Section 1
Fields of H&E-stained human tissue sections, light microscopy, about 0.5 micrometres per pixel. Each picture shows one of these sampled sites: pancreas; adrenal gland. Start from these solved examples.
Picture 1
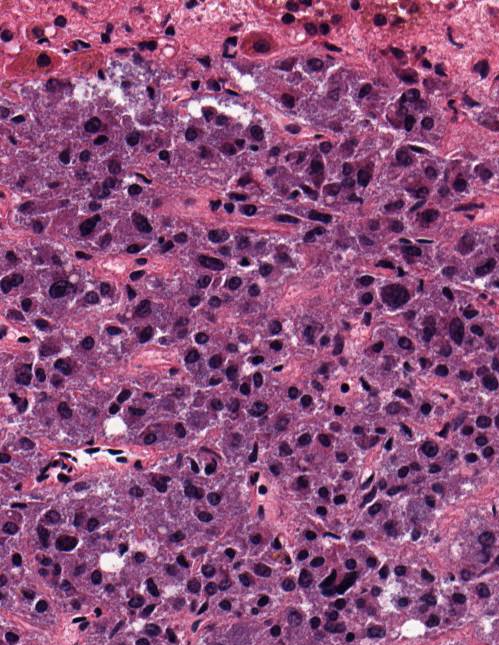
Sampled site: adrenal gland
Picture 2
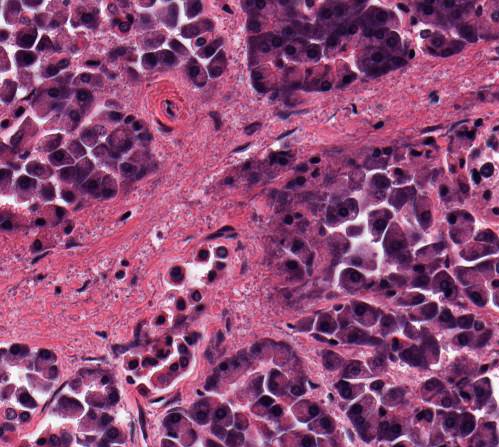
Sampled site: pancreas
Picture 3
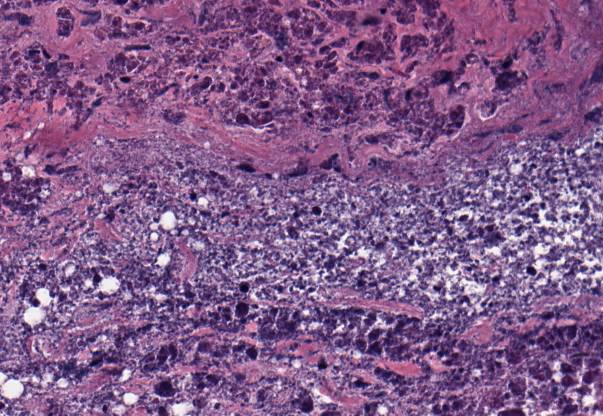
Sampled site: pancreas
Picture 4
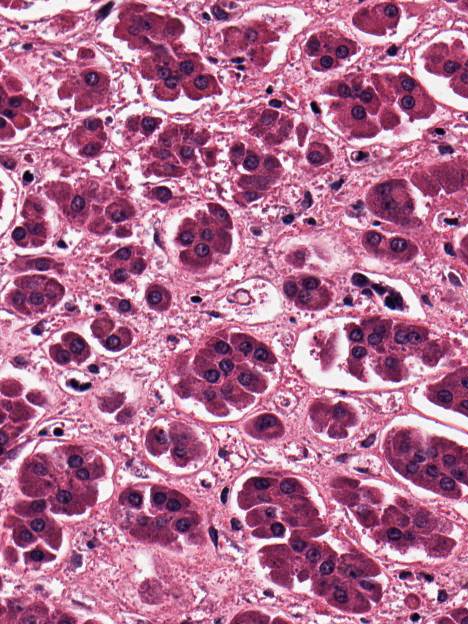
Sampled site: adrenal gland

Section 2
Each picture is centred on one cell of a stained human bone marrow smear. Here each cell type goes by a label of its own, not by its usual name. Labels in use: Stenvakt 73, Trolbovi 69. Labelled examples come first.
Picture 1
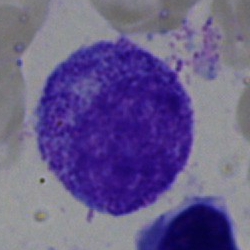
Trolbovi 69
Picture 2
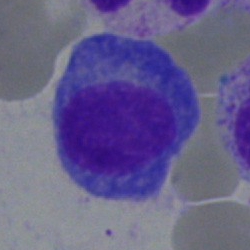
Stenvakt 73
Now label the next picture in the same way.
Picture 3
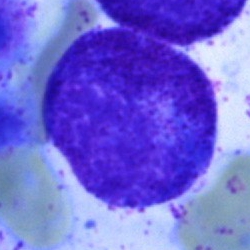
Trolbovi 69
